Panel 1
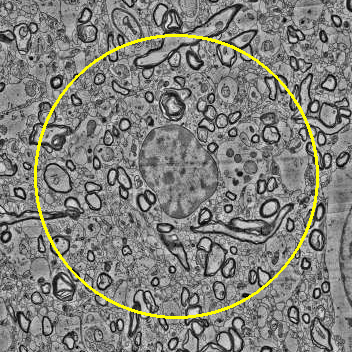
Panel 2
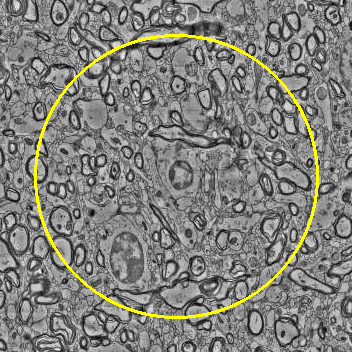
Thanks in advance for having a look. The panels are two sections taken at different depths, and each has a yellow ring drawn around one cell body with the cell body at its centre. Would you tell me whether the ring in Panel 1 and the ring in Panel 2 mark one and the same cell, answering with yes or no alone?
no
